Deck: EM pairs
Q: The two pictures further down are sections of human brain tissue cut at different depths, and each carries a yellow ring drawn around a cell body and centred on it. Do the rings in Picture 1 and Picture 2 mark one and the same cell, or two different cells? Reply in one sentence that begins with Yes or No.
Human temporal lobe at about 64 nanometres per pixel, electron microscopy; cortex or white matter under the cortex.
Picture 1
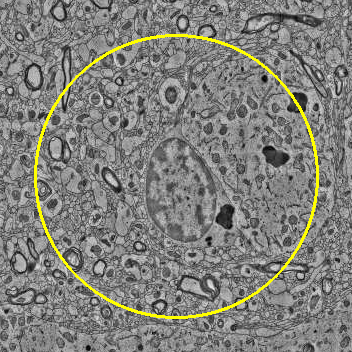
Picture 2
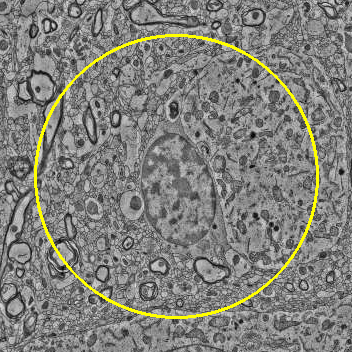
Yes, both marked profiles belong to the very same cell.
